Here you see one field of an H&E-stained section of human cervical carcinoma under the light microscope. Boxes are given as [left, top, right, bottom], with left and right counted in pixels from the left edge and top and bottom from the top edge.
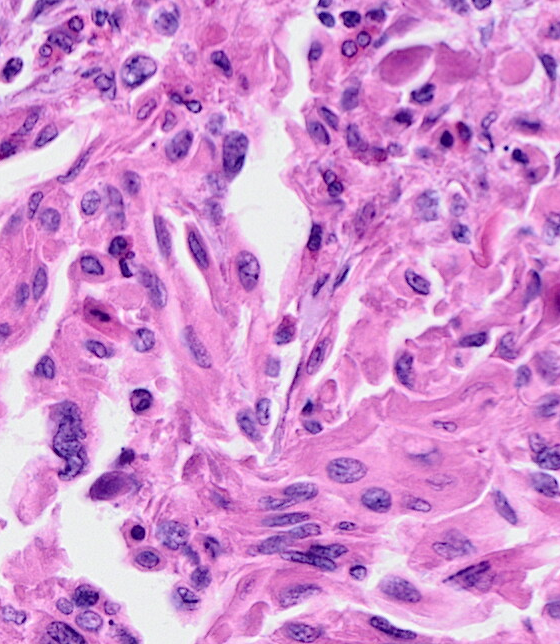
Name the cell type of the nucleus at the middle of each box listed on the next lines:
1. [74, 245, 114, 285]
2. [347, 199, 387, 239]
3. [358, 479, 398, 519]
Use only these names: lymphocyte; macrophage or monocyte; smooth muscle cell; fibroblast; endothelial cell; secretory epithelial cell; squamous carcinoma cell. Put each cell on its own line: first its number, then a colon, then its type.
1: squamous carcinoma cell
2: fibroblast
3: squamous carcinoma cell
